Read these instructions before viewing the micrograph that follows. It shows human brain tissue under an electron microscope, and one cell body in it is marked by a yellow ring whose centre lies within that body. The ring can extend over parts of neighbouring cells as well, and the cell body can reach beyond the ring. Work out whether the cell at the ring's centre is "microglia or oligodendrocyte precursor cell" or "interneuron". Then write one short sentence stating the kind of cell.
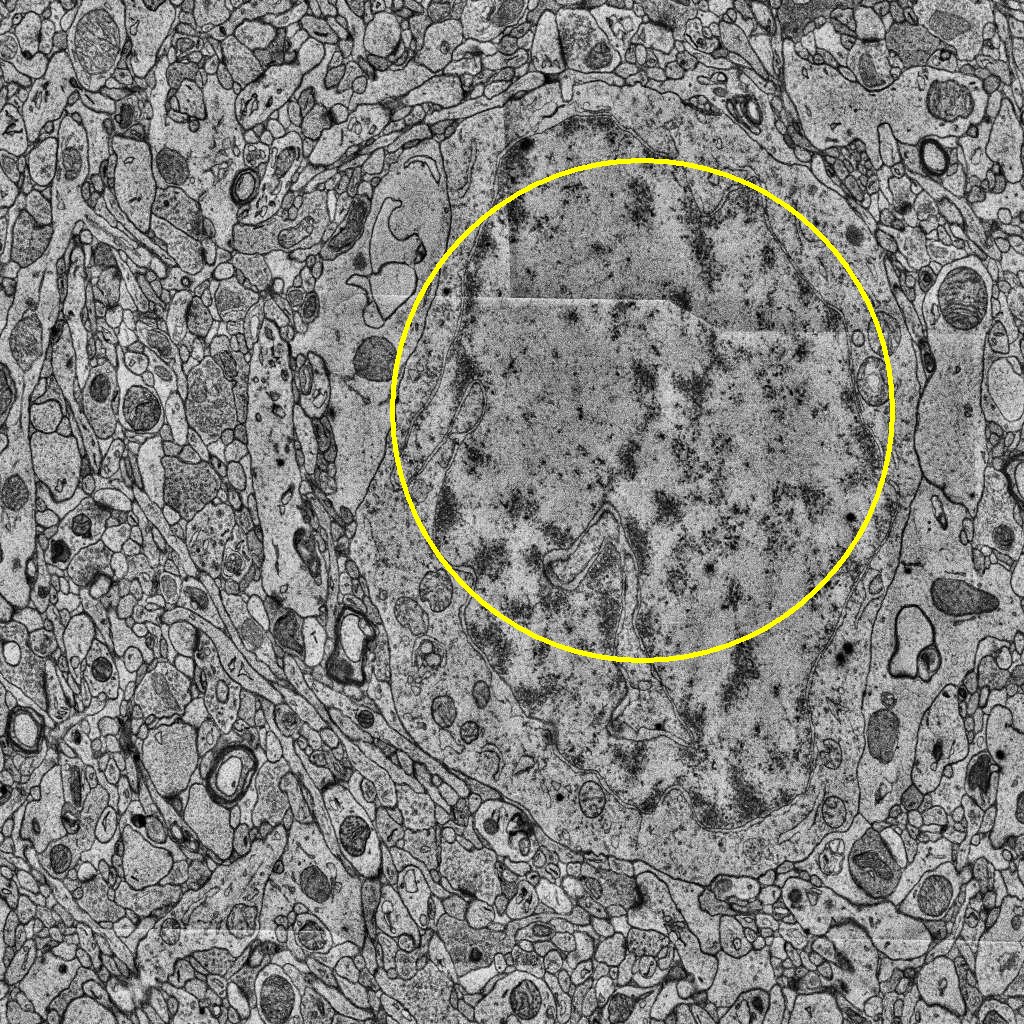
The cell at the ring's centre is an interneuron.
